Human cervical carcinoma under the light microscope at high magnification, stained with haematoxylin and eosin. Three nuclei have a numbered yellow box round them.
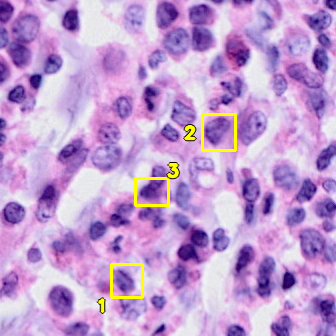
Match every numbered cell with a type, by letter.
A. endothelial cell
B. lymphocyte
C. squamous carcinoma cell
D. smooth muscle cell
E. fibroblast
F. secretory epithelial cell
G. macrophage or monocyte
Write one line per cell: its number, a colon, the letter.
1: B
2: G
3: B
